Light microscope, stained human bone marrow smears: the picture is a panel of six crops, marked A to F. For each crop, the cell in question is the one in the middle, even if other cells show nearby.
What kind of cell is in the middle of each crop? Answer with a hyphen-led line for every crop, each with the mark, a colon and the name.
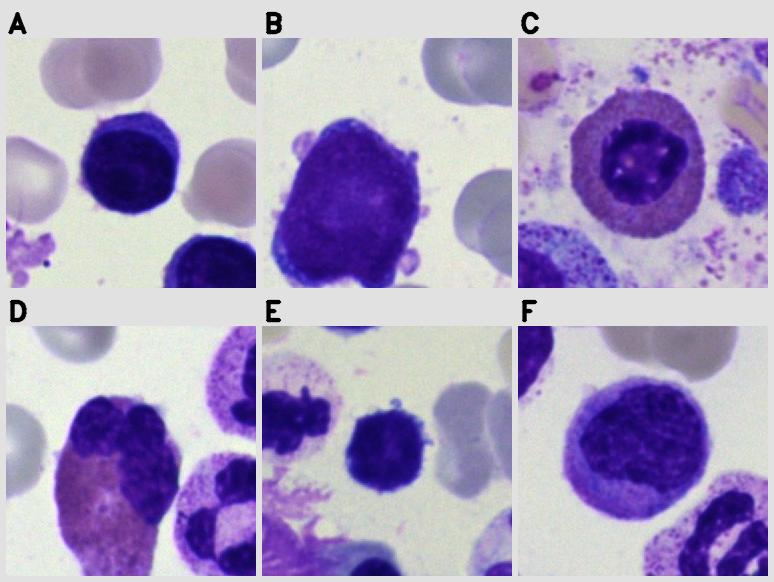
- A: lymphocyte
- B: blast
- C: eosinophil
- D: eosinophil
- E: lymphocyte
- F: monocyte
